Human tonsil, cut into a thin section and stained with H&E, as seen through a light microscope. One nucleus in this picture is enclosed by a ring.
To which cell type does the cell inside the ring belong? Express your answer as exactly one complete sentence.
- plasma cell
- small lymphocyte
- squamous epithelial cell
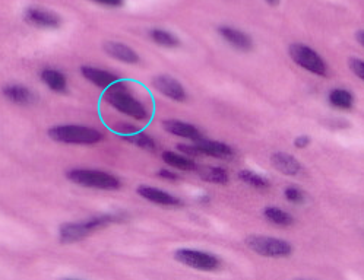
For the purposes of cell typing, the cell inside the ring is categorized as a squamous epithelial cell.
